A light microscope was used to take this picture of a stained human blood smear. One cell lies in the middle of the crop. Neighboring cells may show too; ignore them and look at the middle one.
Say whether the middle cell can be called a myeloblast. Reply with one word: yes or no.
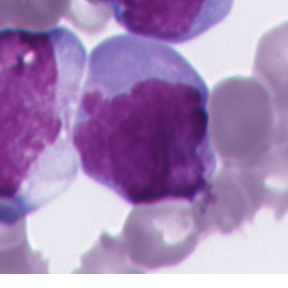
yes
